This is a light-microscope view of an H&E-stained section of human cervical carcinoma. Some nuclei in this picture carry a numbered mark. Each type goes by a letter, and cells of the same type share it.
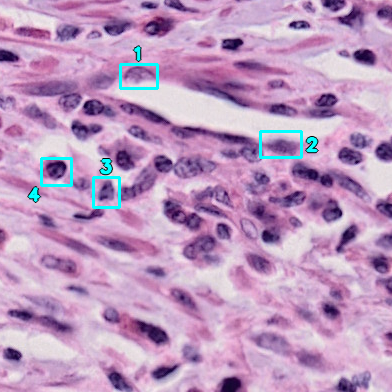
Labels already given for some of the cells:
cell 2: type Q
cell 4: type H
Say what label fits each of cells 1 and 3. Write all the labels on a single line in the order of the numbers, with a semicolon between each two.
type Q; type H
